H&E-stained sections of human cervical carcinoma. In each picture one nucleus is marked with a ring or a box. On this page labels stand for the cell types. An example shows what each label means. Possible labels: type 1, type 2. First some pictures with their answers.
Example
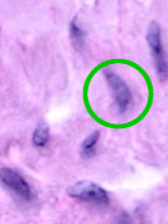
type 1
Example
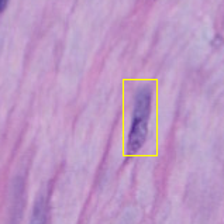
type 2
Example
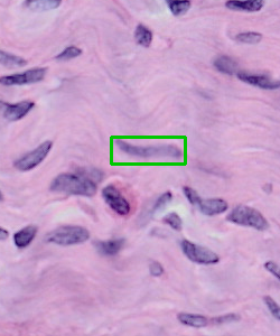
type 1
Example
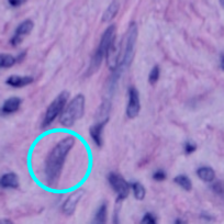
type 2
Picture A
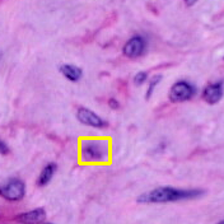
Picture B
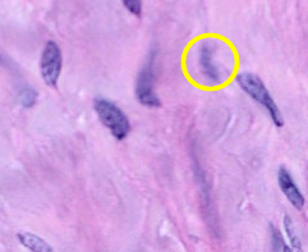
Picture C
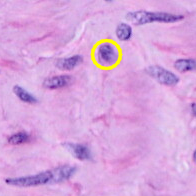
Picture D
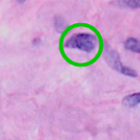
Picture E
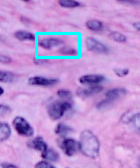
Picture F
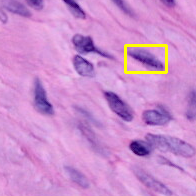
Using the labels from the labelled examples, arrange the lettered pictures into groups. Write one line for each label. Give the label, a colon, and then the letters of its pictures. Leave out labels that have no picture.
type 1: B, D, F
type 2: A, C, E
